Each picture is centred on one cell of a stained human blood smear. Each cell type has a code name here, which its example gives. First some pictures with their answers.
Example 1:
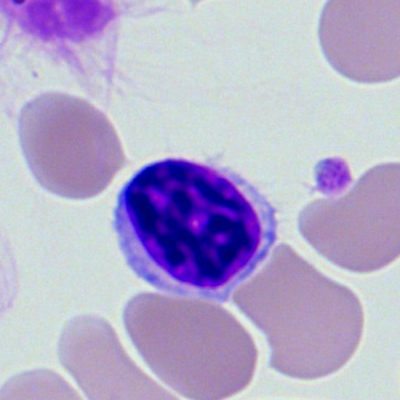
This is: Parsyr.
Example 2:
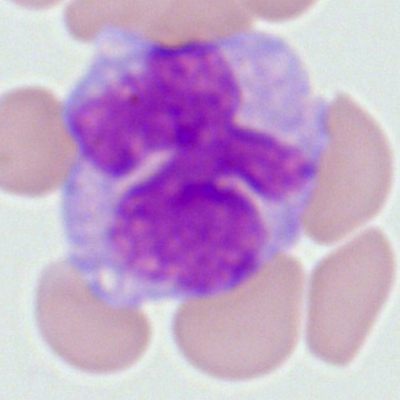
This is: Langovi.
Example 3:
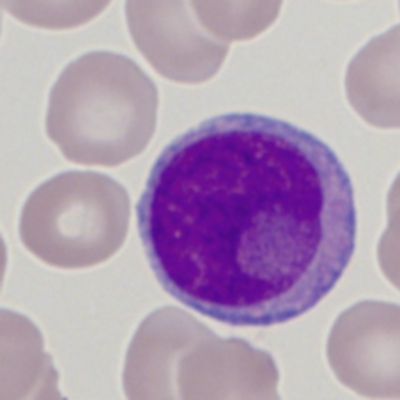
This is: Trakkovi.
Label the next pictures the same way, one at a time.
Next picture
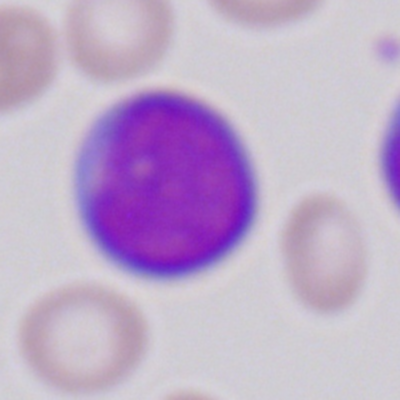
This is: Trakkovi.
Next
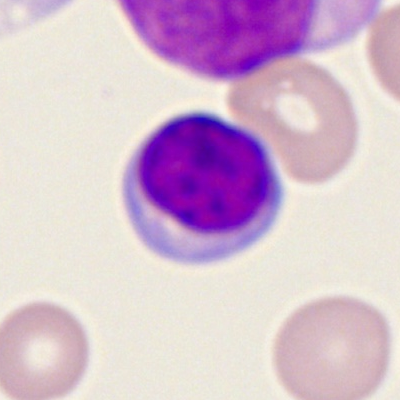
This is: Parsyr.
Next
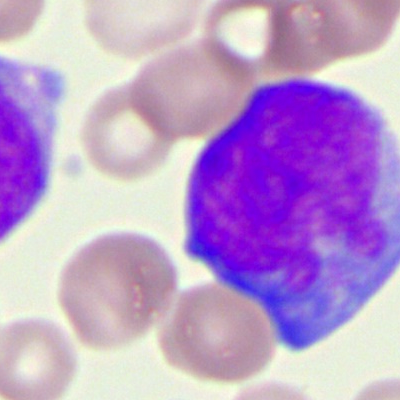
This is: Trakkovi.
